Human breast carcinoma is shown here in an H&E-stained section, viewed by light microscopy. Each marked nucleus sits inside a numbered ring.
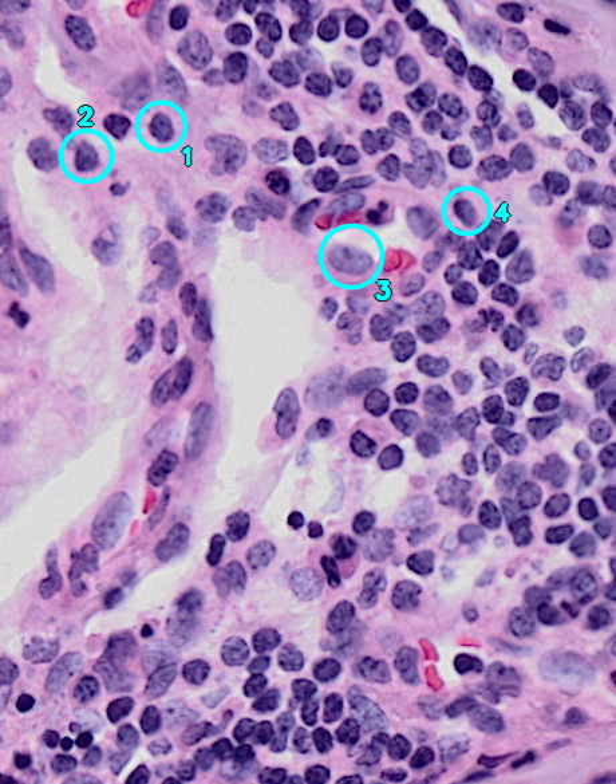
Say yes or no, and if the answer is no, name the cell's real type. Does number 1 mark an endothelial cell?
No, it is a lymphocyte.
